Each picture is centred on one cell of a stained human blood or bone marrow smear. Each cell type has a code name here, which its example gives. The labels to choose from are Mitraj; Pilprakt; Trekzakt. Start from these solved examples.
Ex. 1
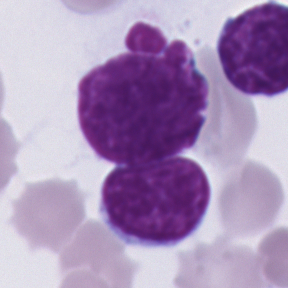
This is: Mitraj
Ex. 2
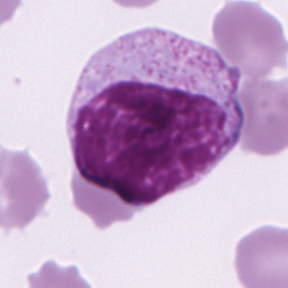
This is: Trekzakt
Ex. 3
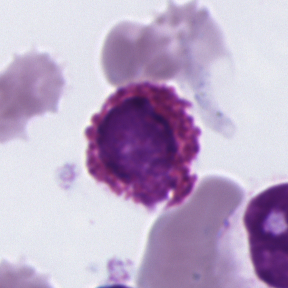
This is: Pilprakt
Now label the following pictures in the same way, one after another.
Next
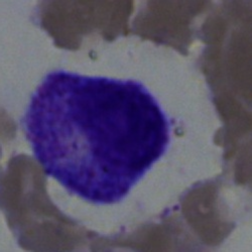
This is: Trekzakt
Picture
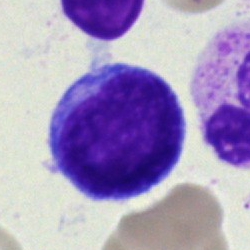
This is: Mitraj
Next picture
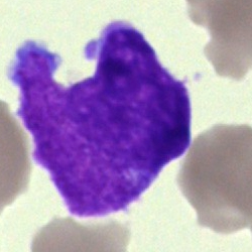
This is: Mitraj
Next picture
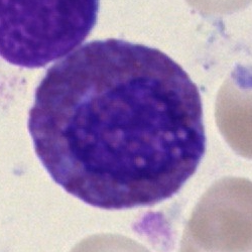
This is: Pilprakt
